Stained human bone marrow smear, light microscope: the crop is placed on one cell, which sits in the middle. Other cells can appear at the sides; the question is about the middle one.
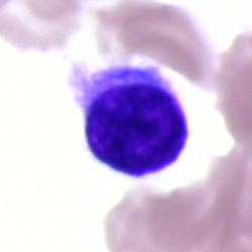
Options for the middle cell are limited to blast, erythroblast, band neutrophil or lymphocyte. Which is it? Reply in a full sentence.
Whatever else lies nearby, the middle cell is a lymphocyte.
